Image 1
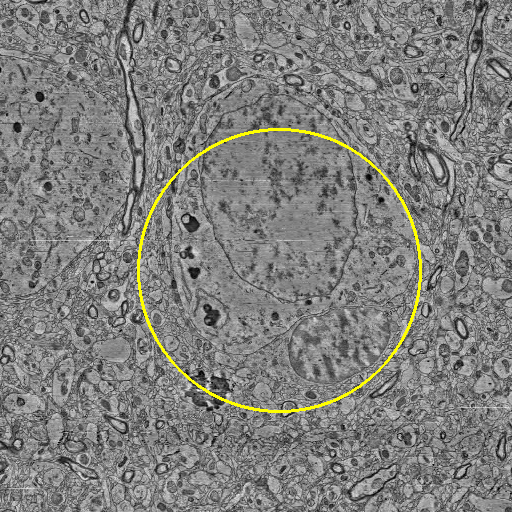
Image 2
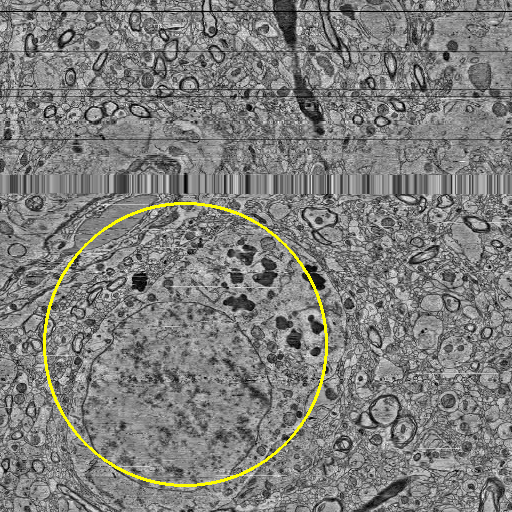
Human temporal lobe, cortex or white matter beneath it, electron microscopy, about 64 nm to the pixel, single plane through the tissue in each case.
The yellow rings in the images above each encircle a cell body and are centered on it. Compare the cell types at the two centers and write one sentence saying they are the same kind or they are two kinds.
Taken together, the two cells at the ring centers are the same kind.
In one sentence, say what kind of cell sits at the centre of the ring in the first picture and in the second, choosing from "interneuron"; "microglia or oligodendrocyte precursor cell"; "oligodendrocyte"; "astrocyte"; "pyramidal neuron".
Each of the two rings is centred on a pyramidal neuron.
